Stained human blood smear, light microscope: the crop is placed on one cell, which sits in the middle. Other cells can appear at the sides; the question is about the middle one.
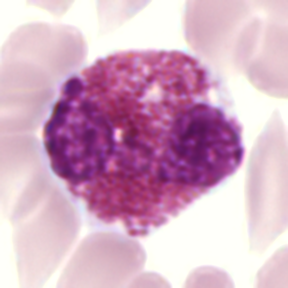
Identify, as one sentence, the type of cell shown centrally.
The central cell shown in this smear crop is an eosinophil.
